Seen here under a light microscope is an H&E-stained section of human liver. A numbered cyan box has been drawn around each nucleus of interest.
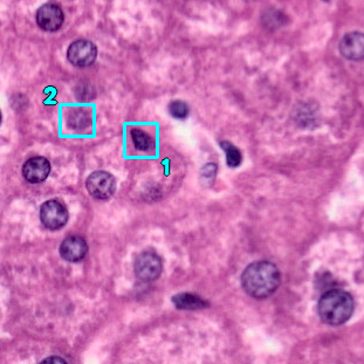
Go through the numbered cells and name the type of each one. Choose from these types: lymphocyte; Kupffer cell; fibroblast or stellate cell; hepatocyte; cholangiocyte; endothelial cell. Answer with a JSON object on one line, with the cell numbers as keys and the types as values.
{"1": "fibroblast or stellate cell", "2": "hepatocyte"}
